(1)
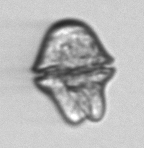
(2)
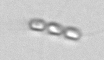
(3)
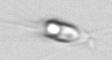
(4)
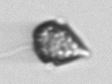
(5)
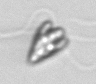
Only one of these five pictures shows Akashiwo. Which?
Picture 1.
